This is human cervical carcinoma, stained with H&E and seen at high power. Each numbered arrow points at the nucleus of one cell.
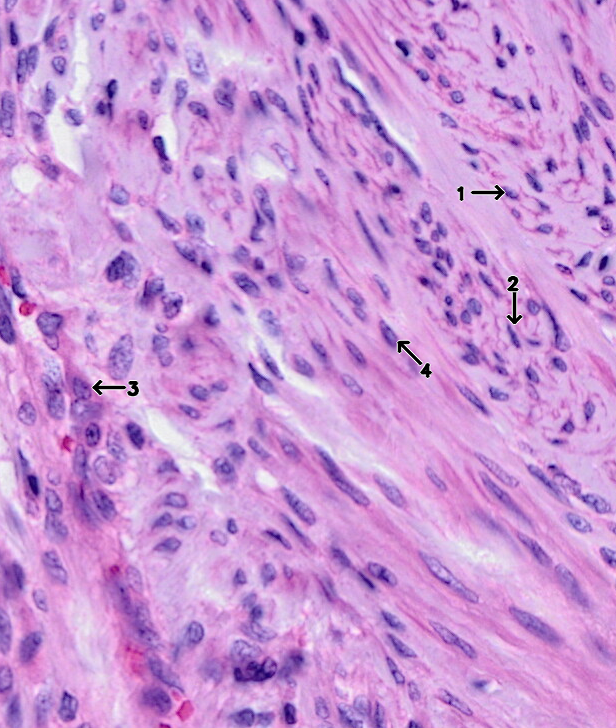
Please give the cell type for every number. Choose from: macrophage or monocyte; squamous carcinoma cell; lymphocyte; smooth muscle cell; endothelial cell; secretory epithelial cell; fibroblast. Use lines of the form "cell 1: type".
cell 1: smooth muscle cell
cell 2: smooth muscle cell
cell 3: endothelial cell
cell 4: smooth muscle cell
